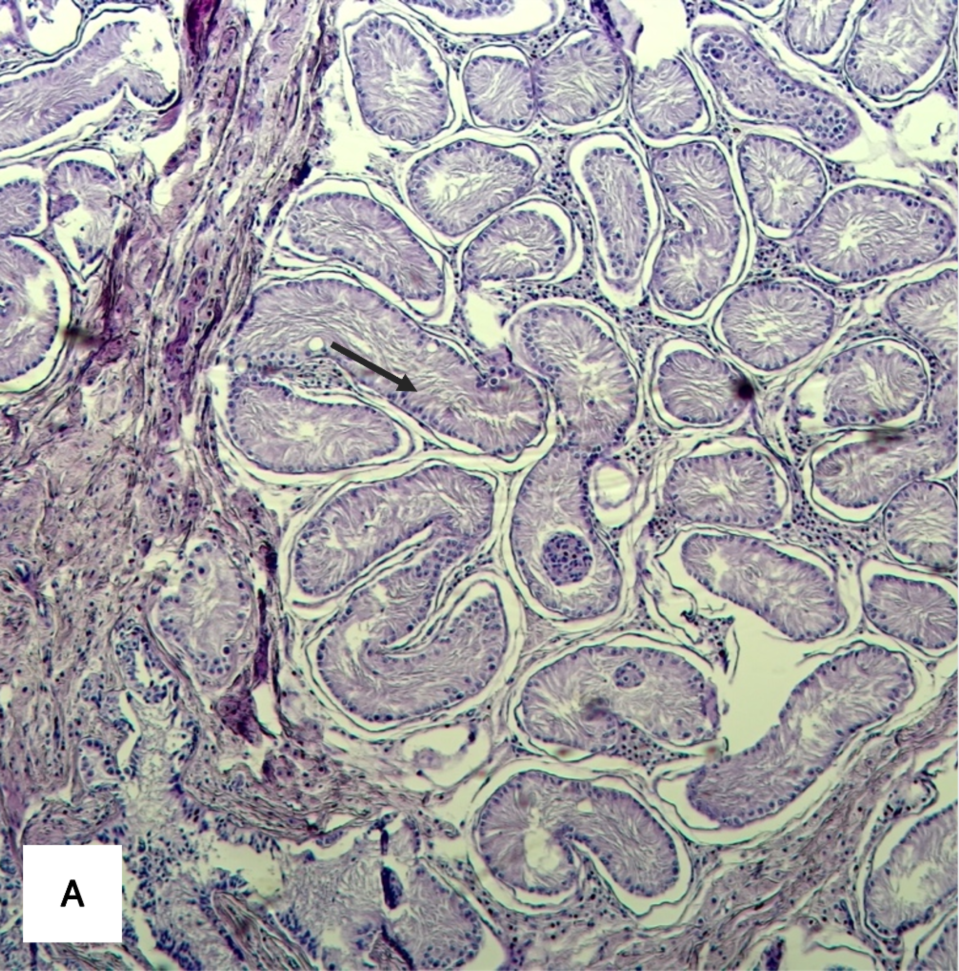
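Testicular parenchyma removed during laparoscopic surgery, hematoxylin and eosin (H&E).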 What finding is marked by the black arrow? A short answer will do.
Seminiferous tubule with undeveloped germinal epithelium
